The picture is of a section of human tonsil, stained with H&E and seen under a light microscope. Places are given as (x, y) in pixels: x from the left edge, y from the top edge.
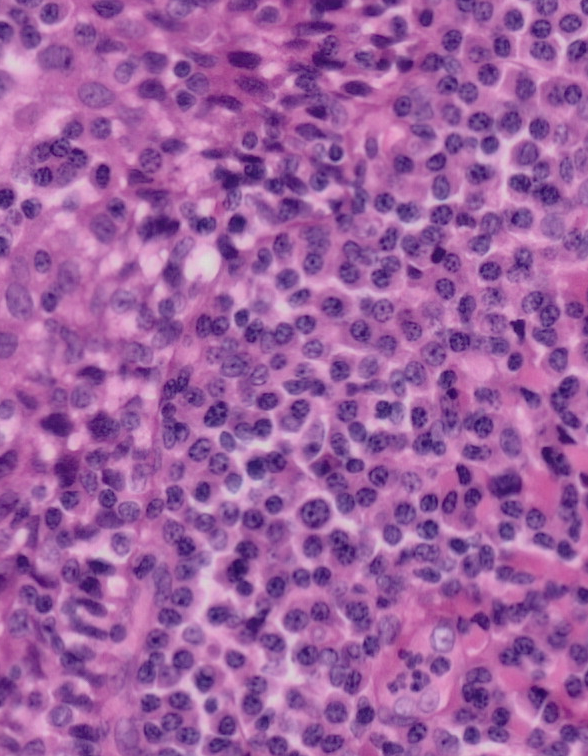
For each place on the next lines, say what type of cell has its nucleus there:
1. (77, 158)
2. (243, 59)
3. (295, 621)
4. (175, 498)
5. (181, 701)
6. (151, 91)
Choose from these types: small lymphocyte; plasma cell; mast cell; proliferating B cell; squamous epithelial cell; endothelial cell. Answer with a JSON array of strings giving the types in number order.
["plasma cell", "squamous epithelial cell", "plasma cell", "plasma cell", "plasma cell", "squamous epithelial cell"]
